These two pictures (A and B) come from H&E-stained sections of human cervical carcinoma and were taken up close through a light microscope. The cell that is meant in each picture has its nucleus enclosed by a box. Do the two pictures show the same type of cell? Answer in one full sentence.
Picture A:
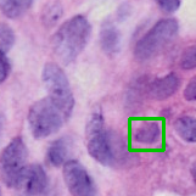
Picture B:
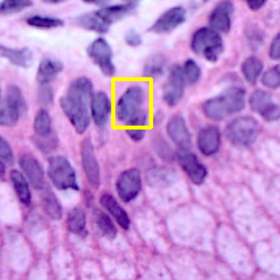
Yes, both are secretory epithelial cells.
